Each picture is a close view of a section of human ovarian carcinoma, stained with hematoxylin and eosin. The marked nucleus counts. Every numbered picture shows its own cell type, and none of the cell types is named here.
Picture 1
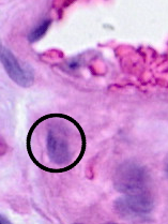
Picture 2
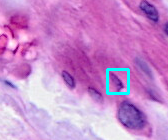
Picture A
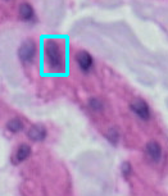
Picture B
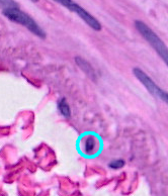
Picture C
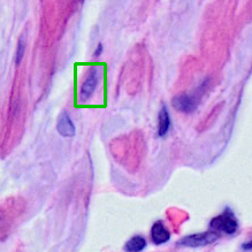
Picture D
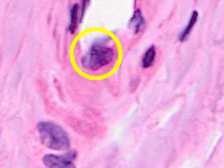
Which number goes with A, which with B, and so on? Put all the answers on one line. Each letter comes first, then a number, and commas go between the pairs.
A 2, B 1, C 1, D 1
